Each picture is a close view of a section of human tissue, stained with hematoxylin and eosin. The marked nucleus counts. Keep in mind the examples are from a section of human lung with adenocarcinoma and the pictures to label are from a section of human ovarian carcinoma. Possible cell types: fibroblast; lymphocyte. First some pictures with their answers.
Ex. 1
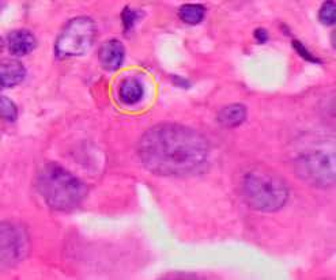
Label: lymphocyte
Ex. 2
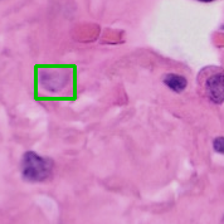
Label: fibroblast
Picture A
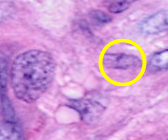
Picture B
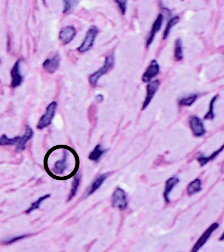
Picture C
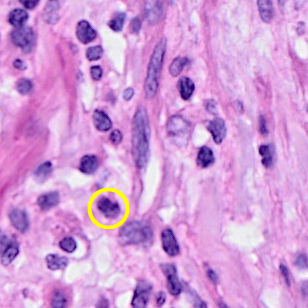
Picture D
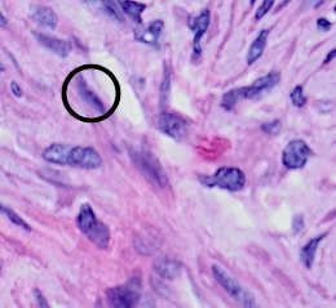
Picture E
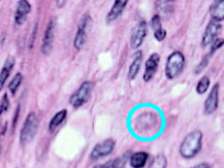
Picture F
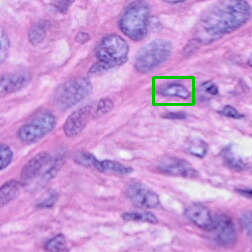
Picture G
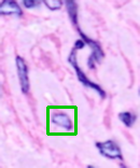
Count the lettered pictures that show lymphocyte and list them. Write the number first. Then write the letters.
Count: 1 (C)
